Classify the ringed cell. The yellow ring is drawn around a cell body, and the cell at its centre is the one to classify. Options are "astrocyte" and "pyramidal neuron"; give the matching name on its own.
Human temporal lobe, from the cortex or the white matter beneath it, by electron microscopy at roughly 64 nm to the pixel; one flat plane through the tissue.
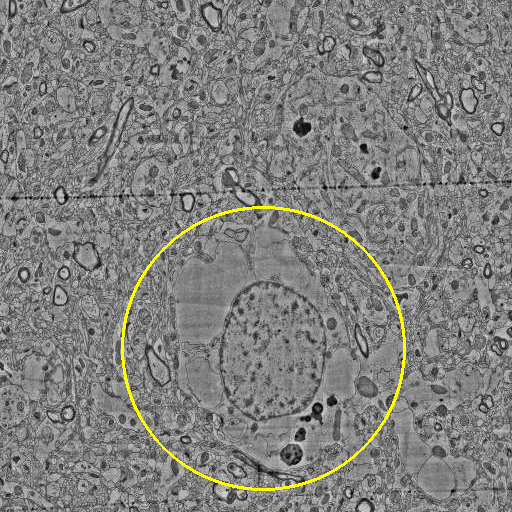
astrocyte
